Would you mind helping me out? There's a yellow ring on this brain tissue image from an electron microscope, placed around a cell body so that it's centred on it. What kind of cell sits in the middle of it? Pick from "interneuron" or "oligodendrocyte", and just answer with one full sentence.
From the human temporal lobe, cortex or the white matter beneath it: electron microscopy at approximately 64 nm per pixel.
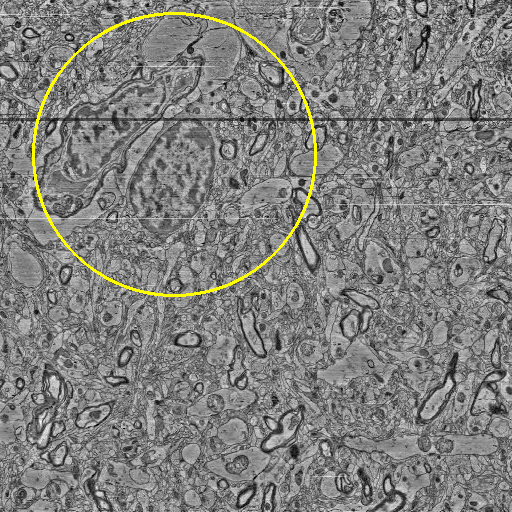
What sits in the middle of that yellow ring is an oligodendrocyte, from your choices.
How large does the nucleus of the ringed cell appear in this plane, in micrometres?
The nucleus is about 8 micrometres in length and 5 in width, clearly longer than it is wide in this plane.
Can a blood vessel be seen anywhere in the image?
Yes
